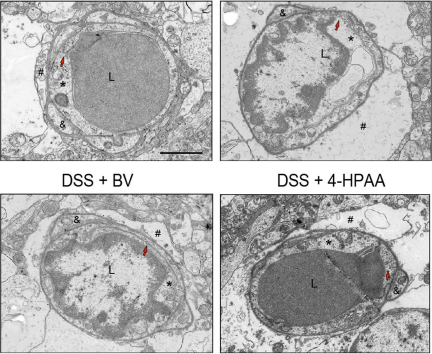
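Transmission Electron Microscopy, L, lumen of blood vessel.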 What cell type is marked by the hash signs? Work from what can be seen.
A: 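Astrocyte. The hash signs lie in pale tissue surrounding the outer side of the vessel.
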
